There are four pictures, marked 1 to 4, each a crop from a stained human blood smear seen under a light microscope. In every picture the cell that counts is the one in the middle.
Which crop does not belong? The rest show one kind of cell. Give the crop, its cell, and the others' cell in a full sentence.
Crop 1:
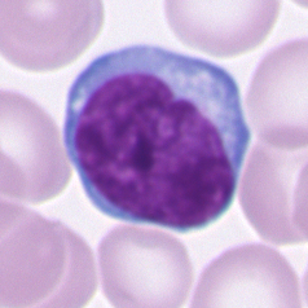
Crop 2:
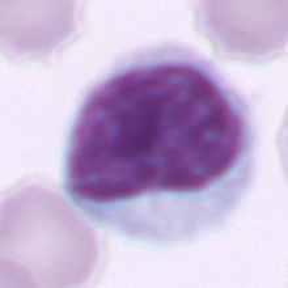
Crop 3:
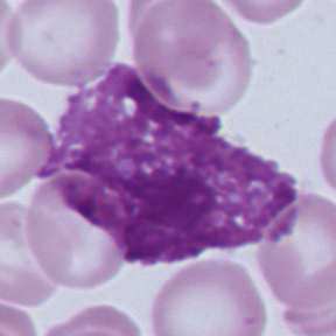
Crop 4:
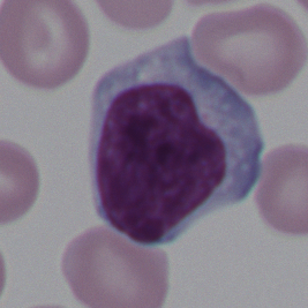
The exception in this group is crop 3, a smudge cell, and the others are all typical lymphocytes.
